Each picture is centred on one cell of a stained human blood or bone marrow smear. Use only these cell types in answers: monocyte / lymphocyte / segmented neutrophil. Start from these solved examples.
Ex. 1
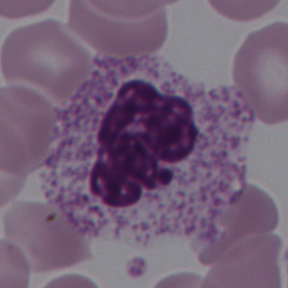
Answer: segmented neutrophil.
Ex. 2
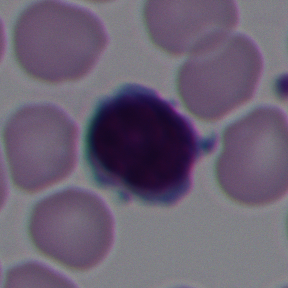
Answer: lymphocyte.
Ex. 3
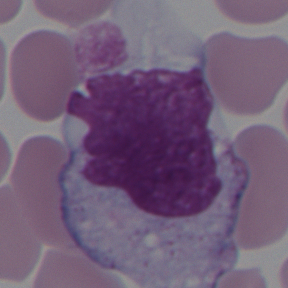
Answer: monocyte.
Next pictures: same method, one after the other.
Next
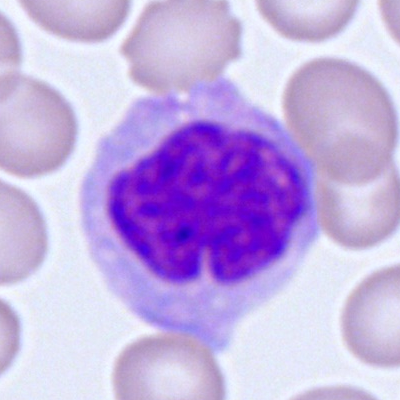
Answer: monocyte.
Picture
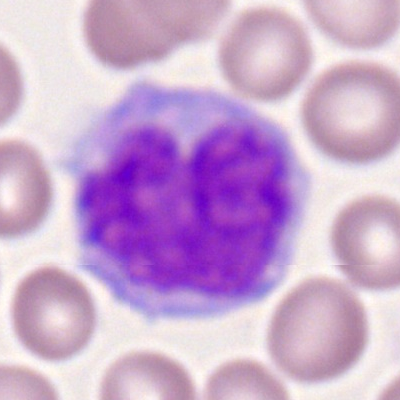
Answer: monocyte.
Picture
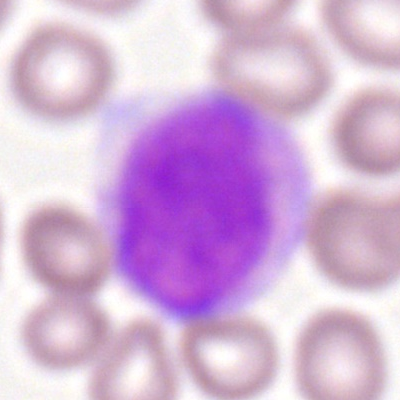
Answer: monocyte.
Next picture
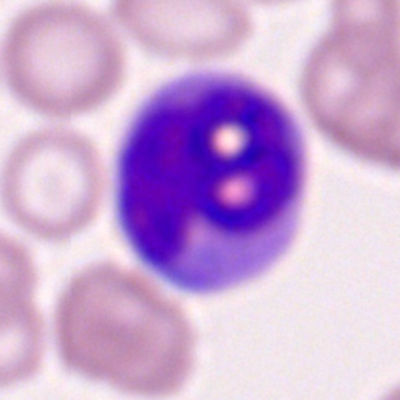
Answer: monocyte.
